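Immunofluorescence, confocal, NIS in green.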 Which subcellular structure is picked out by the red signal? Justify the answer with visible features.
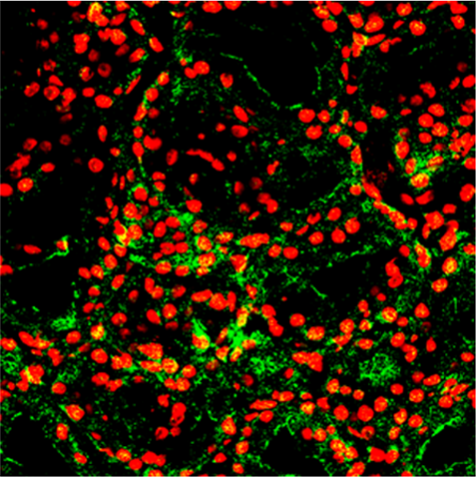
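Nuclei. The red bodies are round to oval, one per cell. The red bodies are of fairly even size, about the size of a cell nucleus.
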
